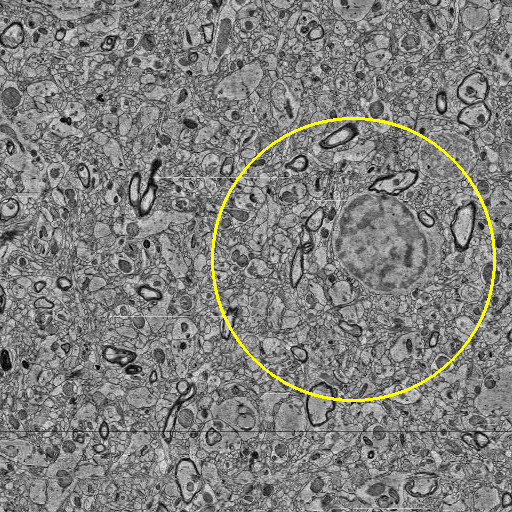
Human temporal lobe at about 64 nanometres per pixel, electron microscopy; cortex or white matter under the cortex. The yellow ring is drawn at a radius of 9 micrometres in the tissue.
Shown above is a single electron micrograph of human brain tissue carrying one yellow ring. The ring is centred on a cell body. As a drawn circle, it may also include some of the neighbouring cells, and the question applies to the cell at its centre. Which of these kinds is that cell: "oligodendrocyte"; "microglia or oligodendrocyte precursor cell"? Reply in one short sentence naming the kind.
The cell marked by the ring is an oligodendrocyte.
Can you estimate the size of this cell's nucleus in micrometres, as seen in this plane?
In this plane the nucleus measures roughly 7 by 6 micrometers.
